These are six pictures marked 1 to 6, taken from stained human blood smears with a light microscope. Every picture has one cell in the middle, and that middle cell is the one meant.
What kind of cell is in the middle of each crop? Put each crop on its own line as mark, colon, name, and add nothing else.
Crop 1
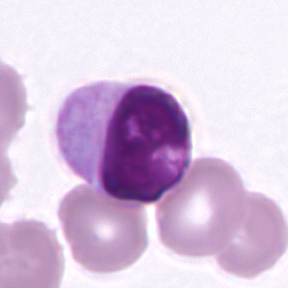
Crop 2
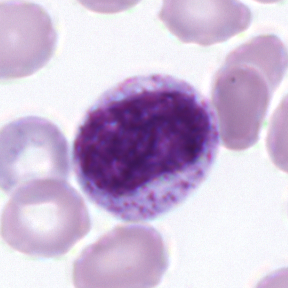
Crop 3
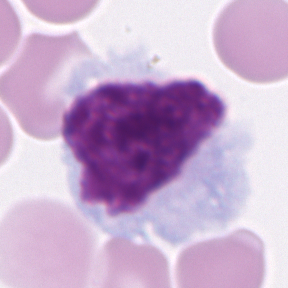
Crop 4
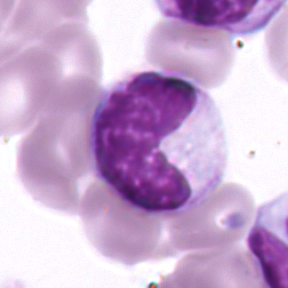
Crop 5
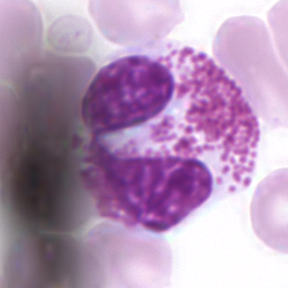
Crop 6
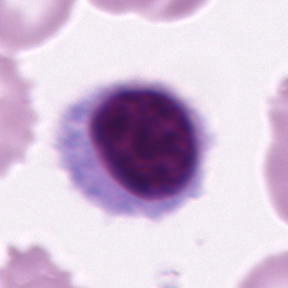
1: plasma cell
2: metamyelocyte
3: hairy cell
4: metamyelocyte
5: eosinophil
6: hairy cell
